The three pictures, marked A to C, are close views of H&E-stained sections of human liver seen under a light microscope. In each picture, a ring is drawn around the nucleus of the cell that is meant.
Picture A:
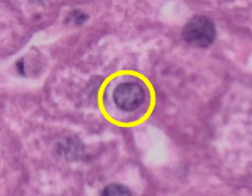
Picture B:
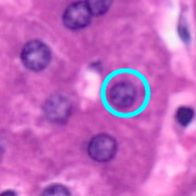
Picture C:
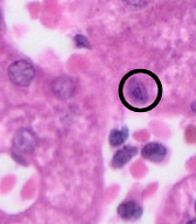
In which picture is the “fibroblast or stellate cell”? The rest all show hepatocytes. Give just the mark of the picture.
C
